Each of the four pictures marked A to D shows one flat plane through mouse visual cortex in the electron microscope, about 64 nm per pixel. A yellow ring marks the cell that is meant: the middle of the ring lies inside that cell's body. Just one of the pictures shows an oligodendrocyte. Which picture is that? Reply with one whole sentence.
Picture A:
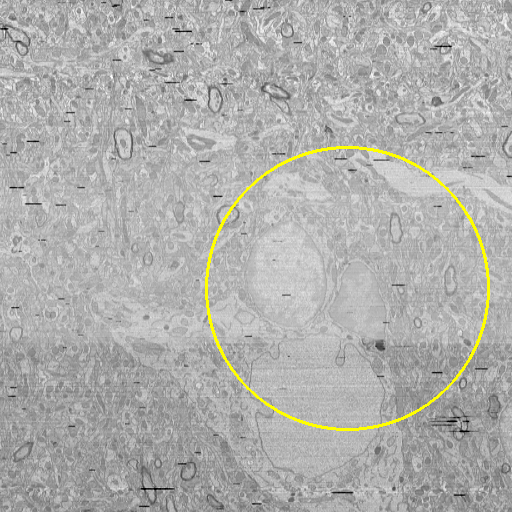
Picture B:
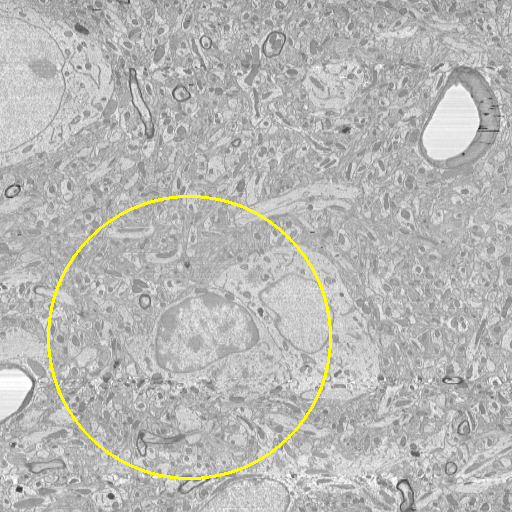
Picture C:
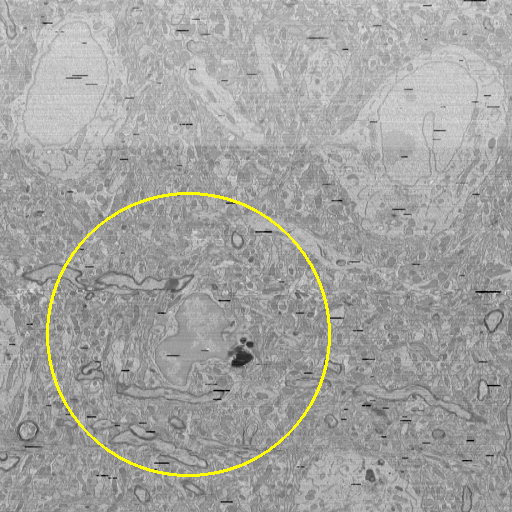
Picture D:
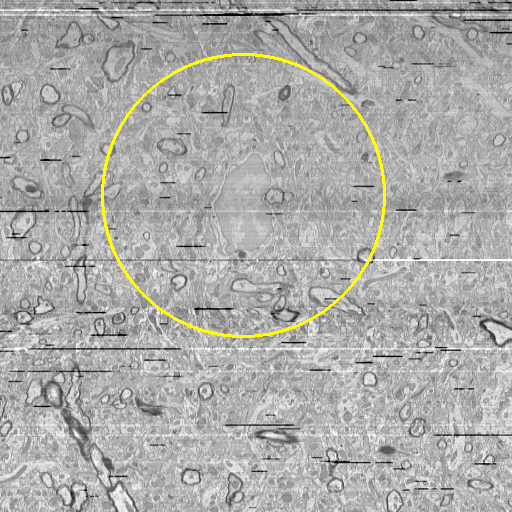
Picture B shows the oligodendrocyte.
